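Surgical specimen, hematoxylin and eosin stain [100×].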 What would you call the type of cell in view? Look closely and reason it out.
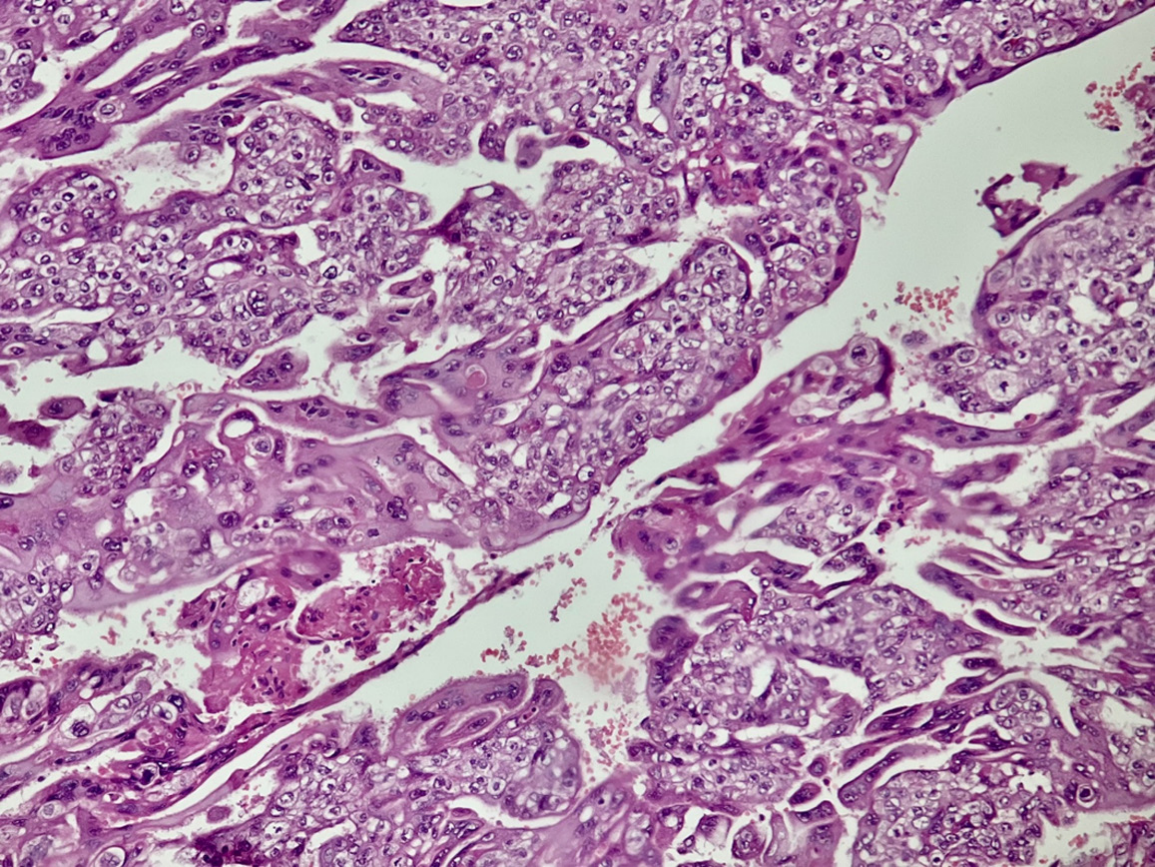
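Atypical syncytiotrophoblast and cytotrophoblast. Nests and sheets of mononuclear cells with pale to clear cytoplasm, distinct borders and enlarged vesicular nuclei. Dark pink, elongated cells with several dark nuclei that drape around and between the pale cell nests. Red blood cells lie in the spaces between the cell masses.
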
